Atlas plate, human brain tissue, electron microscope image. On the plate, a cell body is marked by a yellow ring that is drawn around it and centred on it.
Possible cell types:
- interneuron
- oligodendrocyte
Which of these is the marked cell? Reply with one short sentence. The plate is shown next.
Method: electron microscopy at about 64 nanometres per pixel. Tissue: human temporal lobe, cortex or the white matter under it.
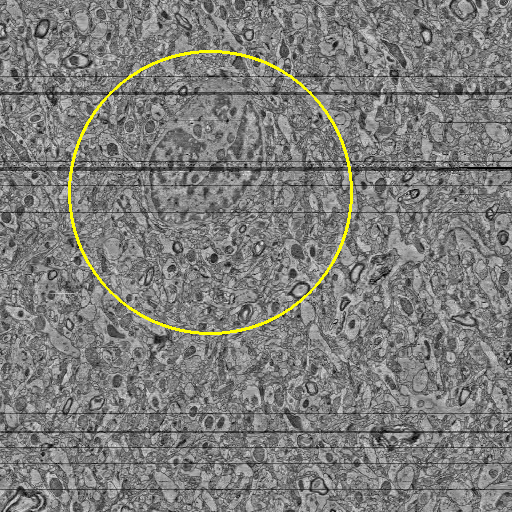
The marked cell is an oligodendrocyte.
